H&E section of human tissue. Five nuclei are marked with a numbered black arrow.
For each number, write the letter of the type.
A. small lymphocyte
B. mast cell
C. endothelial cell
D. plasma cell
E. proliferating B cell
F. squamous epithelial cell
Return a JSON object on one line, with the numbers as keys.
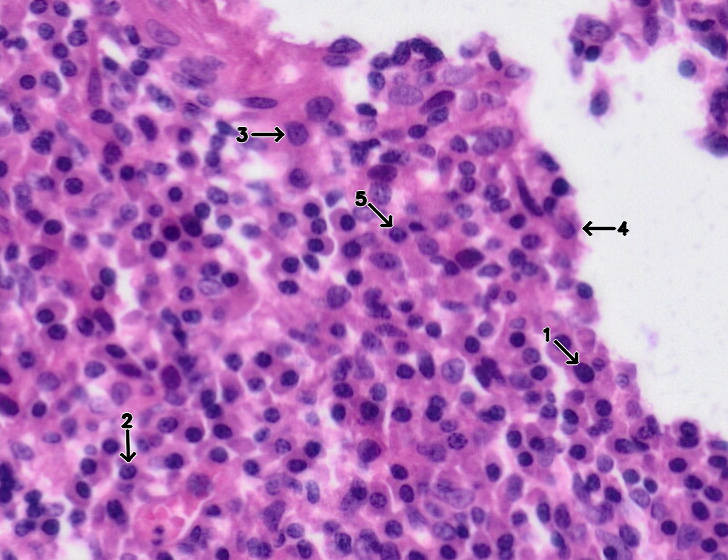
{"1": "D", "2": "D", "3": "F", "4": "F", "5": "D"}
